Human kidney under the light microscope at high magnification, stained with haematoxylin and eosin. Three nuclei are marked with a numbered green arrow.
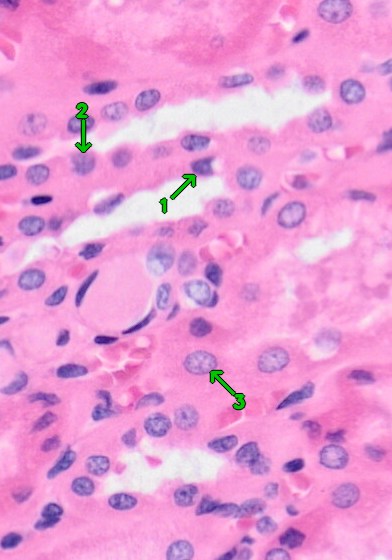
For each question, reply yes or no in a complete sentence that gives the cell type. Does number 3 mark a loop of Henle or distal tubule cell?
No, cell 3 should be classed as a proximal tubule cell, not as a loop of Henle or distal tubule cell.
